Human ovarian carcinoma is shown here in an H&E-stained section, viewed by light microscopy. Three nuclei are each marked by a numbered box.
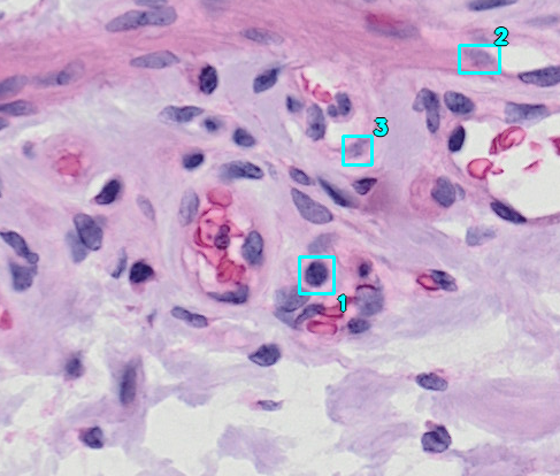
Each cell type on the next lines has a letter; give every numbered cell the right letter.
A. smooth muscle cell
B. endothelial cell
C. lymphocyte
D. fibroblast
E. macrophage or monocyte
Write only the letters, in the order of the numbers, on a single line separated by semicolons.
C; B; B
